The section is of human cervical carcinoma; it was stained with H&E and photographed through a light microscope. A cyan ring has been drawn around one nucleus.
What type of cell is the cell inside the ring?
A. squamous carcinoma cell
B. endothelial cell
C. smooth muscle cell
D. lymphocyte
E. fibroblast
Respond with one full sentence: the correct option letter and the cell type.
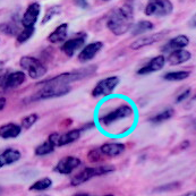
The statement that the cell inside the ring is a lymphocyte corresponds to option D, the correct one.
